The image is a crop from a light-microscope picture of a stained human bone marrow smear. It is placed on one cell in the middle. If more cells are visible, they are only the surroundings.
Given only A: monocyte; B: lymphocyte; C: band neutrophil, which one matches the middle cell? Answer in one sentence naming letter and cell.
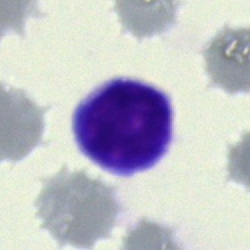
Option B is correct; the cell in the middle is a lymphocyte.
